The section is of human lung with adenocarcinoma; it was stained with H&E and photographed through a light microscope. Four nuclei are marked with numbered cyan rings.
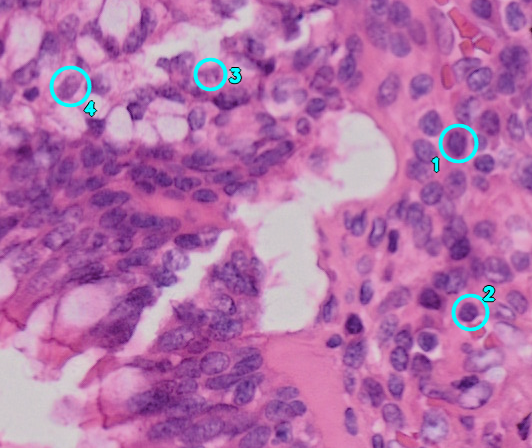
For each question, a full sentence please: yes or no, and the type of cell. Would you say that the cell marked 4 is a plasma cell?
No, the identification of cell 4 as a plasma cell is incorrect; it is a ciliated epithelial cell.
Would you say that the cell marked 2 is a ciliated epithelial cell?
No, the cell bearing the number 2 is a lymphocyte, not a ciliated epithelial cell.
